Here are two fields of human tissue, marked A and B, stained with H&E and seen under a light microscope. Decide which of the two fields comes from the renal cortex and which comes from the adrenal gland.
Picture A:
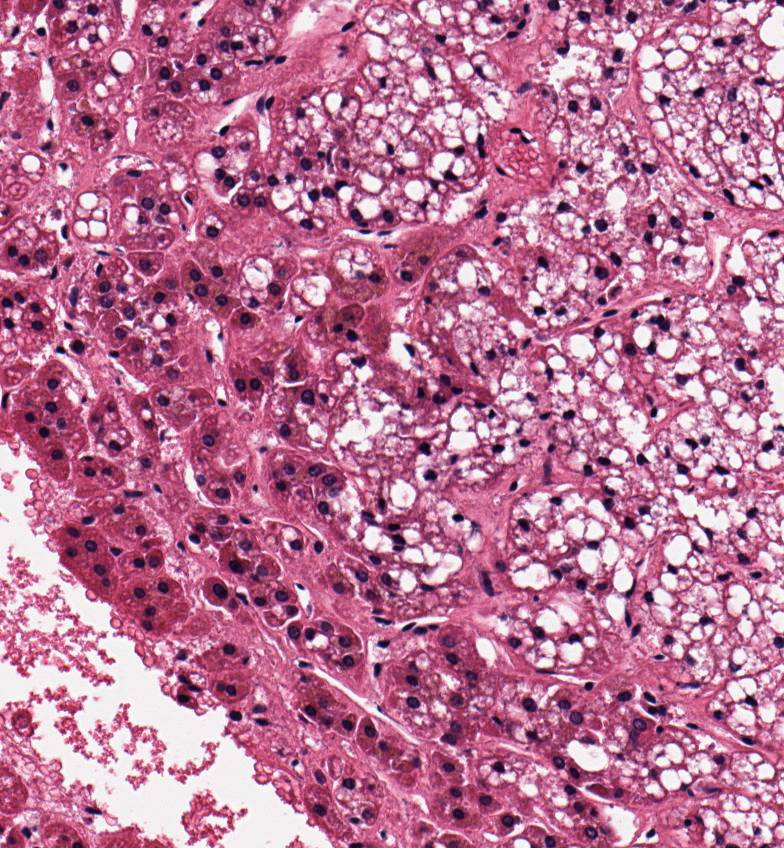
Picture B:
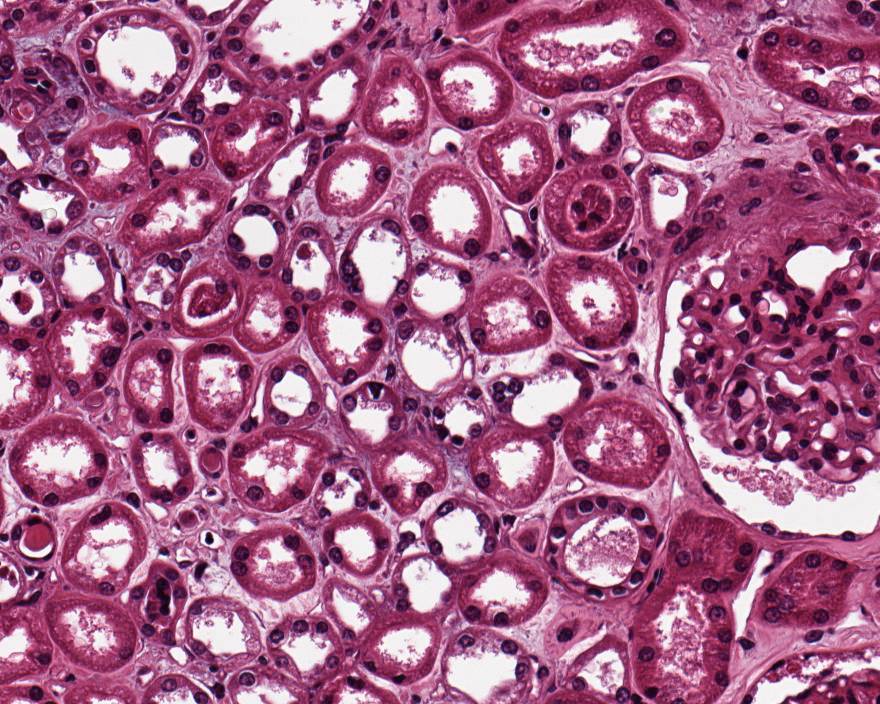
A: adrenal gland
B: renal cortex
